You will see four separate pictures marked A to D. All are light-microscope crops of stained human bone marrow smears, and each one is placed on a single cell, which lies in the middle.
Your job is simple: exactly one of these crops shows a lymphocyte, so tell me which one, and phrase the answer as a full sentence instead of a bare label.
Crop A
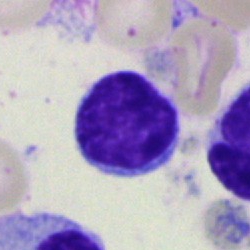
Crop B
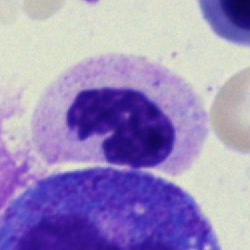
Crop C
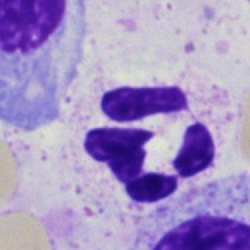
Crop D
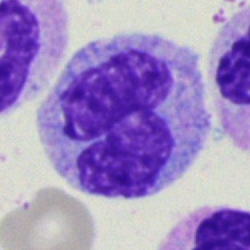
Among these crops, crop A holds a lymphocyte.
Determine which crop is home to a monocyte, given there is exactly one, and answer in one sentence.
Crop D is the crop that displays a monocyte.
